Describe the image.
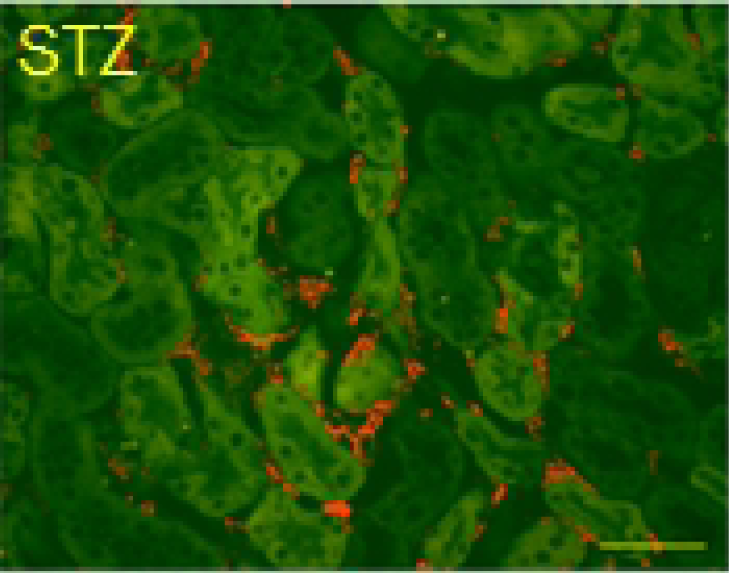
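Between the tubules, in the narrow interstitial spaces, lie numerous small red cells, irregular and sometimes elongated, as if squeezed between the tubule walls. They are scattered across the field, in places forming short chains or small clusters, and none lie inside the tubular lumens.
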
